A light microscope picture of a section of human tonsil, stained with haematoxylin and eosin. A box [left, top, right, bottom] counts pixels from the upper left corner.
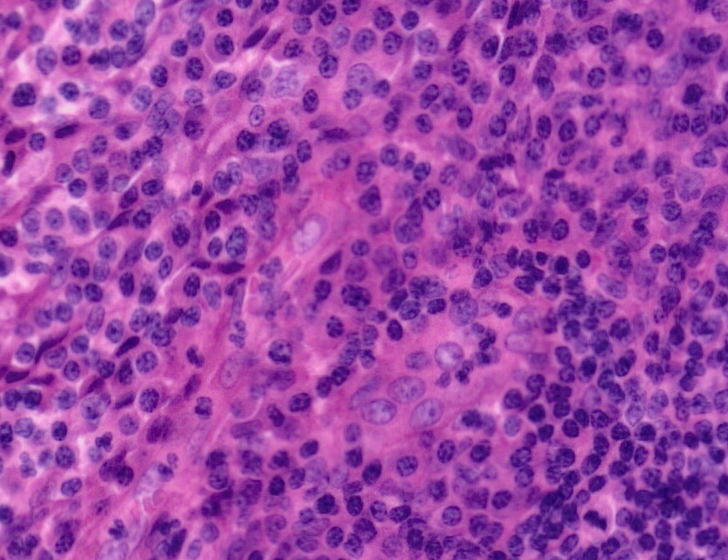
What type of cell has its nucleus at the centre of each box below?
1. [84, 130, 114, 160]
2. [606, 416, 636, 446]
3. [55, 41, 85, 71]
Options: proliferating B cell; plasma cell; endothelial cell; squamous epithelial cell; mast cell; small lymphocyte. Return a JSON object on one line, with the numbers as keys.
{"1": "plasma cell", "2": "small lymphocyte", "3": "plasma cell"}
